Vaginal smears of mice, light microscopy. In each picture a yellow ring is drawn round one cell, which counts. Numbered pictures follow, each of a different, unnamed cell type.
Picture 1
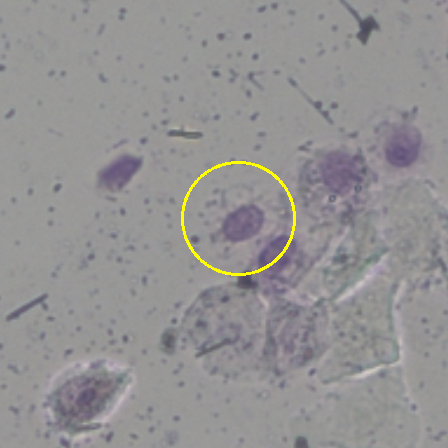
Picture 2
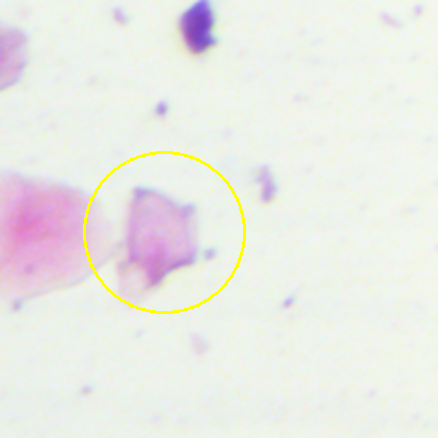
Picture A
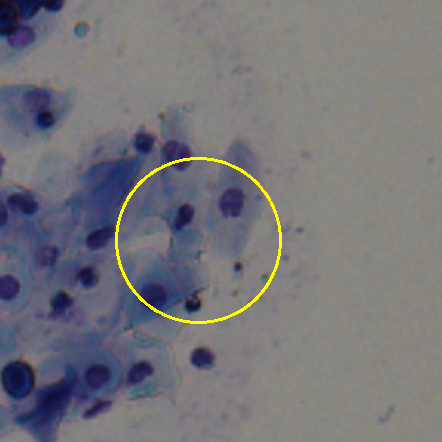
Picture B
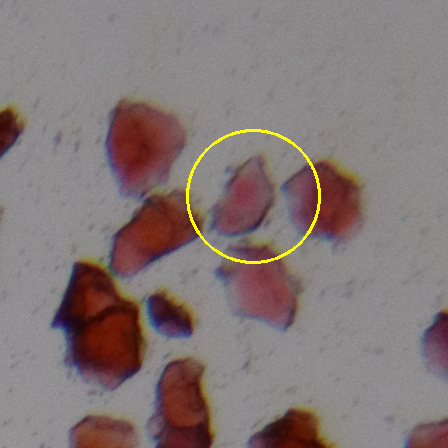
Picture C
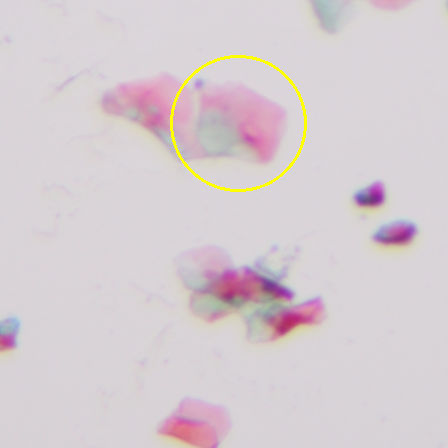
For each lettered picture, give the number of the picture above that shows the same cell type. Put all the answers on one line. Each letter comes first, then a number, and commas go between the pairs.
A 1, B 2, C 2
